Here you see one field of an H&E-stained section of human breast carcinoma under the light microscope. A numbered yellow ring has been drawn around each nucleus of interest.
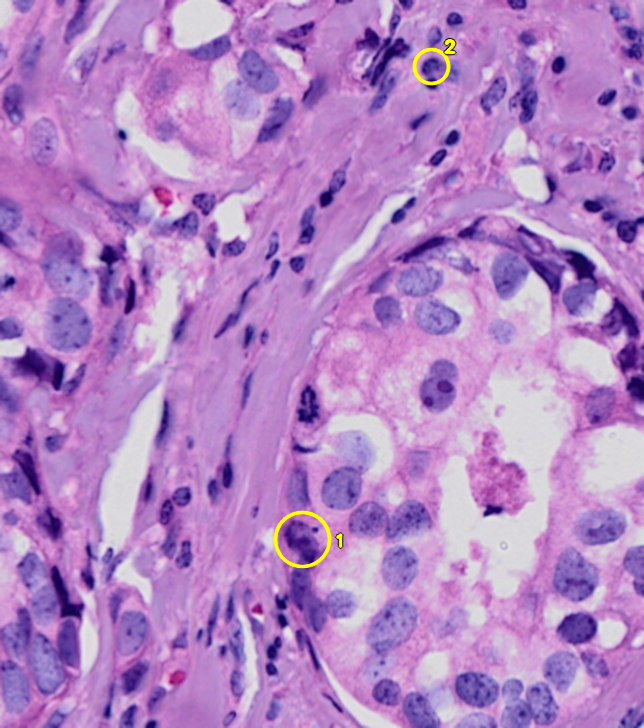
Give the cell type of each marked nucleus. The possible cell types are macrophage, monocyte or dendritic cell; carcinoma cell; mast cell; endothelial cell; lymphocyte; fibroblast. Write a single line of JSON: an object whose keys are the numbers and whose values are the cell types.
{"1": "carcinoma cell", "2": "lymphocyte"}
